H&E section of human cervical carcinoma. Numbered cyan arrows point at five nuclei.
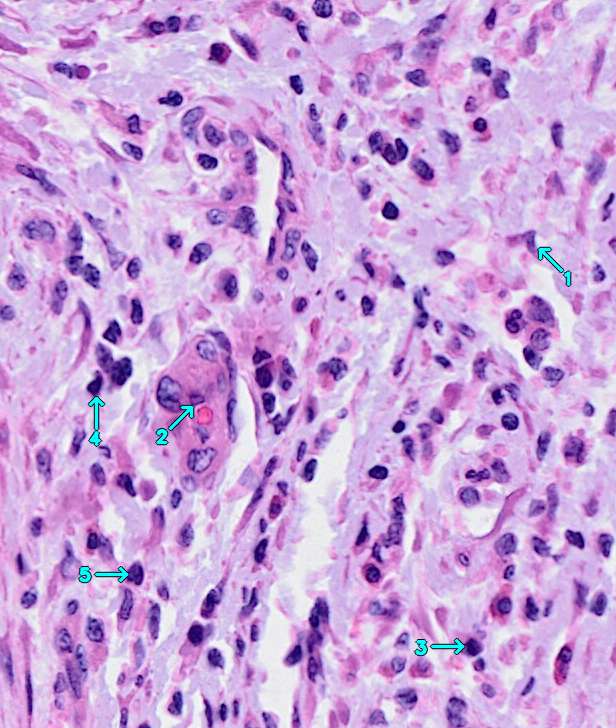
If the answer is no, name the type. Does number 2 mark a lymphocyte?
No, it is an endothelial cell.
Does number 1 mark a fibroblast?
Yes.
